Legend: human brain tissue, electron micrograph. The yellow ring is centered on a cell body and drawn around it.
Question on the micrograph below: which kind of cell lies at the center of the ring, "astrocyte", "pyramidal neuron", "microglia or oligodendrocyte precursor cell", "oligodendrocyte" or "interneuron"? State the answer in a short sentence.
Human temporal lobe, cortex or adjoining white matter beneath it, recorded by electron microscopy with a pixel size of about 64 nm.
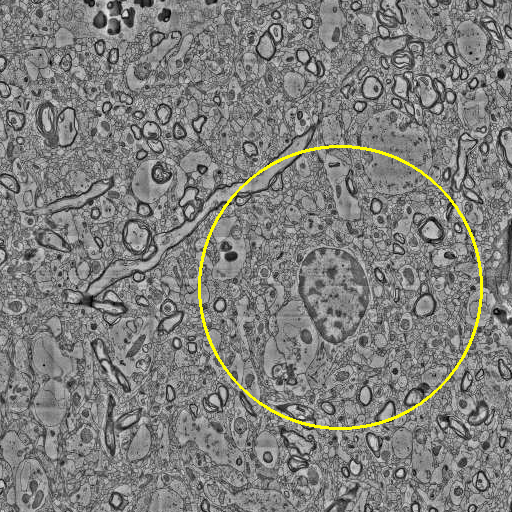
At the center of the ring lies a microglial cell or oligodendrocyte precursor cell.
